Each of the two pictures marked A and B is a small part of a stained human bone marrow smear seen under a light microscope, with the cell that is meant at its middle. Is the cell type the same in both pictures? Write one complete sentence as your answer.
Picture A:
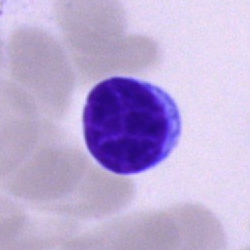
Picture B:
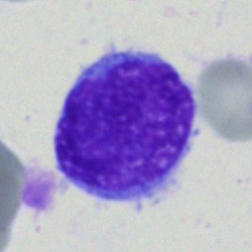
No, they differ: the cell is a lymphocyte in picture A and a blast in picture B.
